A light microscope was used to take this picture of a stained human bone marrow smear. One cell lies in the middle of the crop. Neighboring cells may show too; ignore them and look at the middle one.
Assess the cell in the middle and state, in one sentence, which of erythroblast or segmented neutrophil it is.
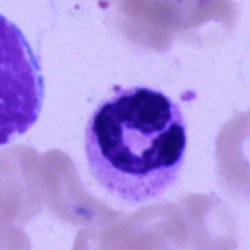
The middle cell in this particular crop is a segmented neutrophil.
